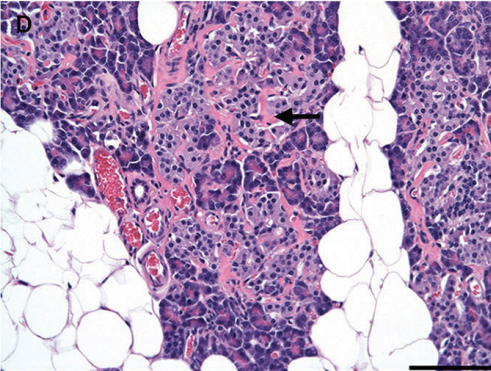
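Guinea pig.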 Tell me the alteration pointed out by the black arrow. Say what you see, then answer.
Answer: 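The arrow points to pale pink, acellular strands running between clusters of cells. The pink strands separate the cells into irregular groups. On this evidence: fibrous connective tissue.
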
